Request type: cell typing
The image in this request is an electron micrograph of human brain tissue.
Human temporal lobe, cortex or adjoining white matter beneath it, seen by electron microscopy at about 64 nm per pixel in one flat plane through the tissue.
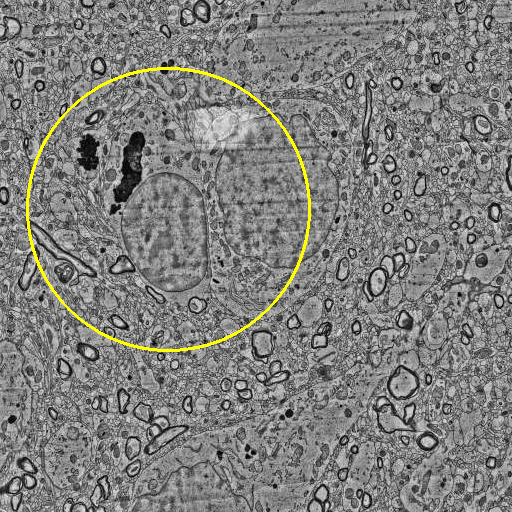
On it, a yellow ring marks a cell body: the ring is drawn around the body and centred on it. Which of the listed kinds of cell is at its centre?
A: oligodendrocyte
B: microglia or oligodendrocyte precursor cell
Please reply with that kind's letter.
A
